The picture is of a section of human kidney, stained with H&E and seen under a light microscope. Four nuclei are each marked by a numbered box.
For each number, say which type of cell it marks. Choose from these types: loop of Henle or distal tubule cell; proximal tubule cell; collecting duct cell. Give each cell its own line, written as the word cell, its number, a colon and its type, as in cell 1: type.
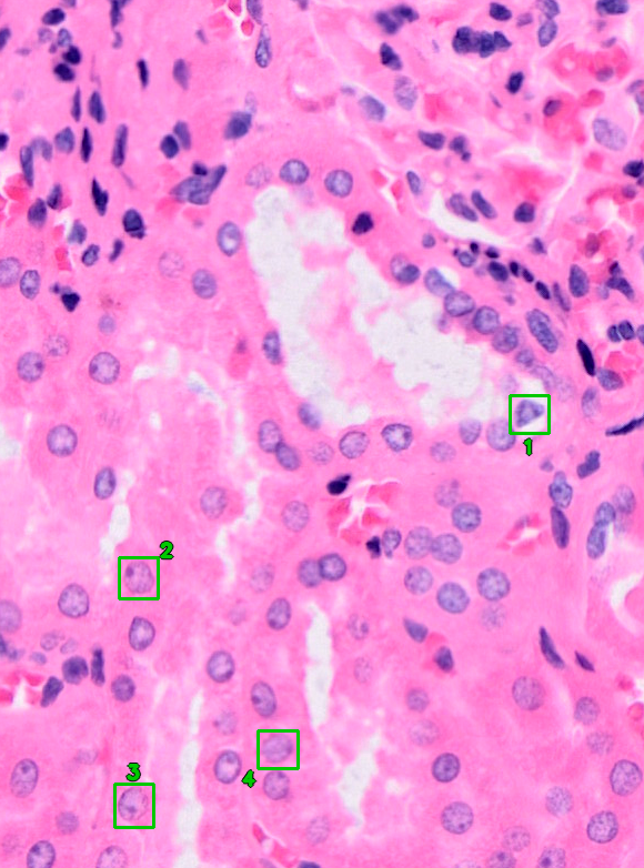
cell 1: loop of Henle or distal tubule cell
cell 2: proximal tubule cell
cell 3: proximal tubule cell
cell 4: proximal tubule cell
